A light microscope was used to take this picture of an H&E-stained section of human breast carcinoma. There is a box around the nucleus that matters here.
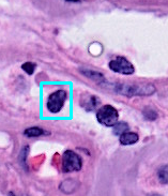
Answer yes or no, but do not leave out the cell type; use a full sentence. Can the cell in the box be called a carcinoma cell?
No, the cell in the box is correctly named a lymphocyte; it is not a carcinoma cell.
